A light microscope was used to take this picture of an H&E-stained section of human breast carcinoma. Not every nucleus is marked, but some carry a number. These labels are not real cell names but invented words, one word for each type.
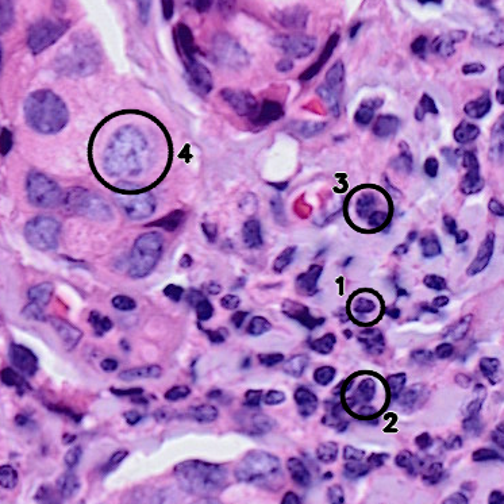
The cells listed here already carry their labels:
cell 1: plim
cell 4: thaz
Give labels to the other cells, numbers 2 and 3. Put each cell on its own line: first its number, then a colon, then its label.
2: plim
3: plim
